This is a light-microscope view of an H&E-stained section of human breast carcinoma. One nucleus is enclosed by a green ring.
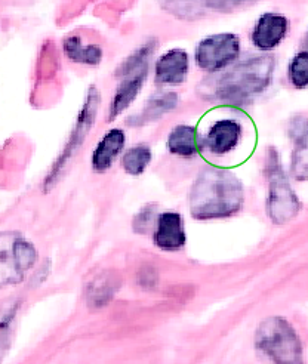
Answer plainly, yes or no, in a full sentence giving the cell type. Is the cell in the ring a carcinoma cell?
No, the cell in the ring is scored as a lymphocyte and not as a carcinoma cell.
